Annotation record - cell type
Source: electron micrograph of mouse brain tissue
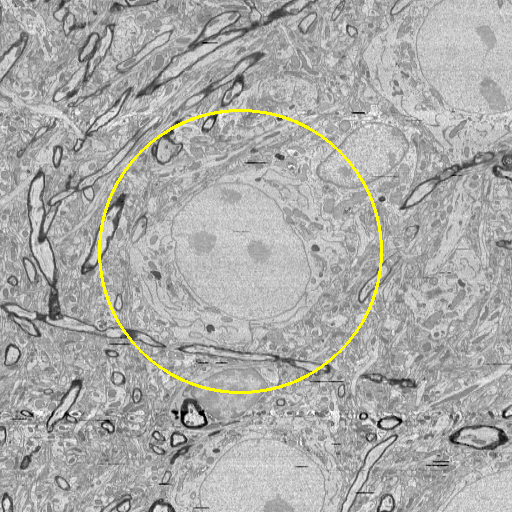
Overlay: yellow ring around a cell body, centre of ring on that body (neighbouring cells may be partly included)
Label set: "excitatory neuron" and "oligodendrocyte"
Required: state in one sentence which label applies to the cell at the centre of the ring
This cell should be labelled as an excitatory neuron.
